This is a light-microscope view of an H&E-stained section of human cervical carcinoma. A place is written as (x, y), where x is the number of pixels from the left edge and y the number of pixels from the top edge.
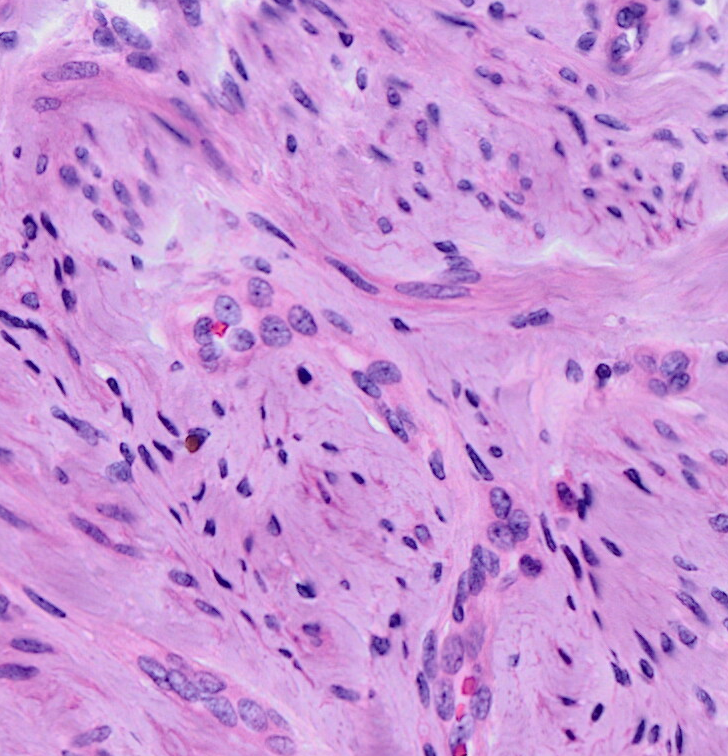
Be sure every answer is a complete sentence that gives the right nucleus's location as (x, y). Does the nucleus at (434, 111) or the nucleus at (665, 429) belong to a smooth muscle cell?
Belonging to a smooth muscle cell is the nucleus at (665, 429).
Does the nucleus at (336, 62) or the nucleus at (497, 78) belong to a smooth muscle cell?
Of the pair, the nucleus located at (497, 78) belongs to a smooth muscle cell.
